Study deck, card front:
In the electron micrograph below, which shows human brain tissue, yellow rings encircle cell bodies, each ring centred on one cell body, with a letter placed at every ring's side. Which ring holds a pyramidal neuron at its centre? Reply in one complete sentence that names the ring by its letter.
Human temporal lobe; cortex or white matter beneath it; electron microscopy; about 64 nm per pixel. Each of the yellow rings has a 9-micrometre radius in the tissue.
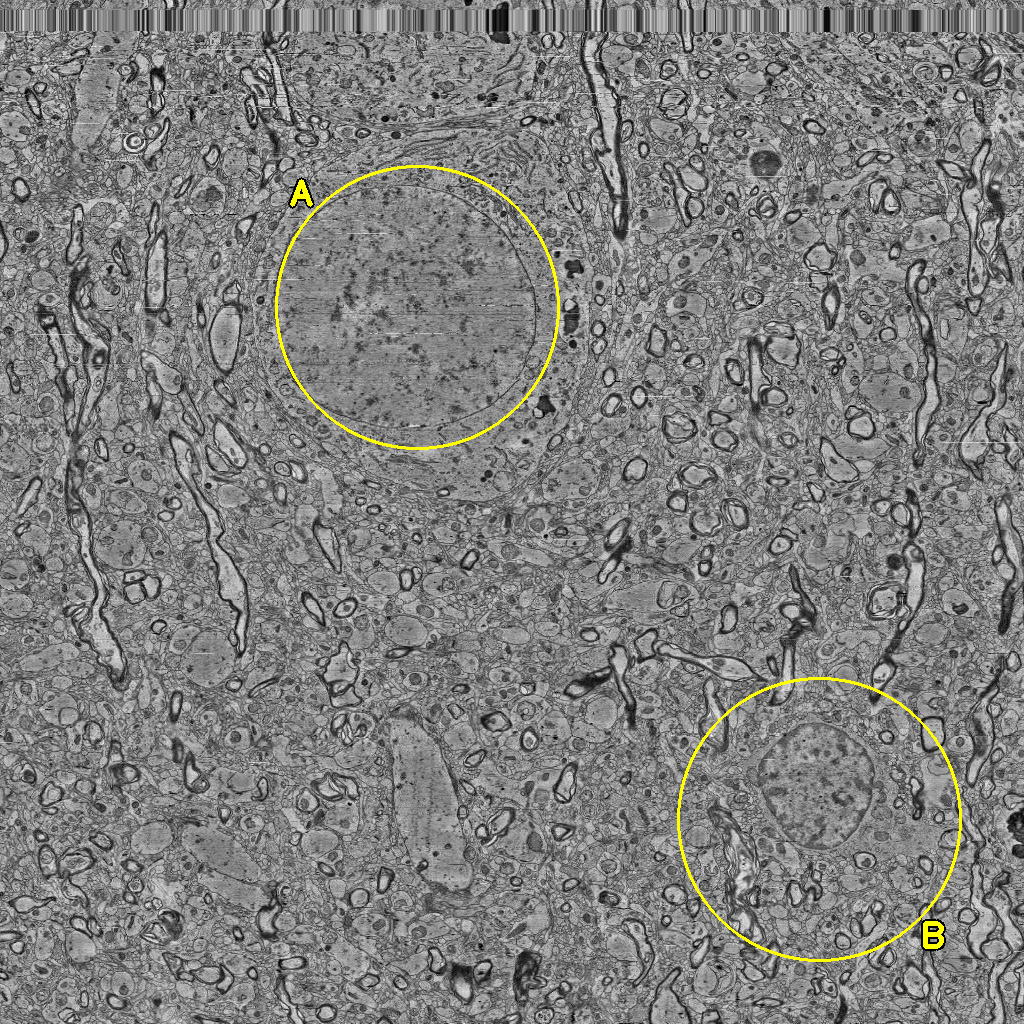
The cell asked for sits at the centre of ring A in the picture.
